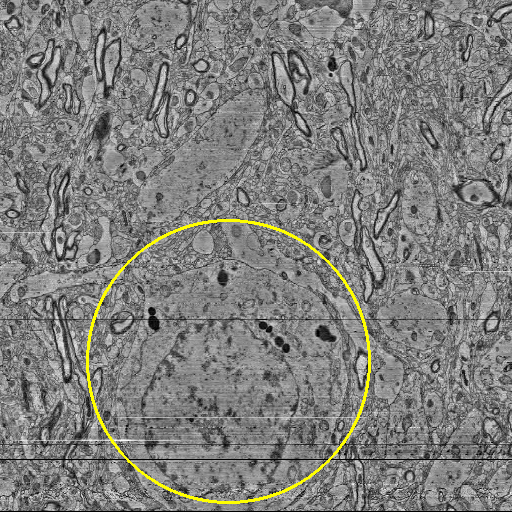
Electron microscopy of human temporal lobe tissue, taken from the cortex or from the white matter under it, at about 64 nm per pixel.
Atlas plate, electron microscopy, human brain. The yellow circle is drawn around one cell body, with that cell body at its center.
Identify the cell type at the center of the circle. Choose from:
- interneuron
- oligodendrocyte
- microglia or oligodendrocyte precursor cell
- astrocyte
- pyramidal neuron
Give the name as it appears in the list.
pyramidal neuron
